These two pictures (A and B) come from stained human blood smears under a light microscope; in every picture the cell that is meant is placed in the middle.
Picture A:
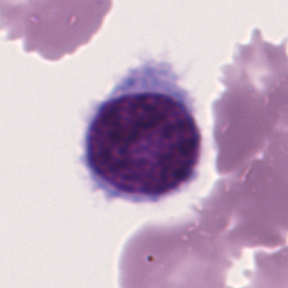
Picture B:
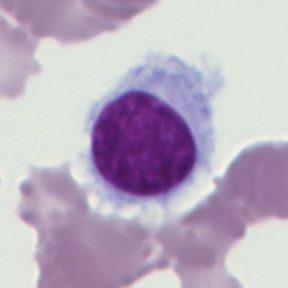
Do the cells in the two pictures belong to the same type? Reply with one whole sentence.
Yes, they are the same type: both are hairy cells.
